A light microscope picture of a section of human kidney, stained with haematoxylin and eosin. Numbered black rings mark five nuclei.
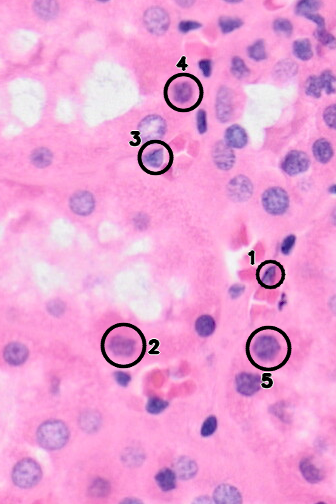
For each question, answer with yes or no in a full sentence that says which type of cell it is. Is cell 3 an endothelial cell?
Yes, that is correct: the cell numbered 3 is an endothelial cell.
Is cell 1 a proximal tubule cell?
No, it is not a proximal tubule cell that bears number 1 but an endothelial cell.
